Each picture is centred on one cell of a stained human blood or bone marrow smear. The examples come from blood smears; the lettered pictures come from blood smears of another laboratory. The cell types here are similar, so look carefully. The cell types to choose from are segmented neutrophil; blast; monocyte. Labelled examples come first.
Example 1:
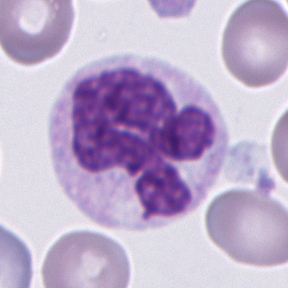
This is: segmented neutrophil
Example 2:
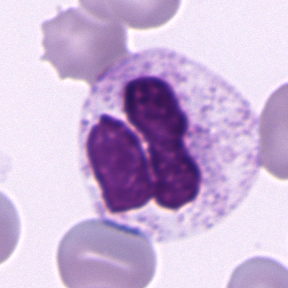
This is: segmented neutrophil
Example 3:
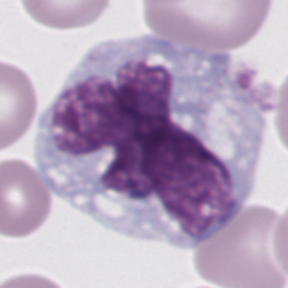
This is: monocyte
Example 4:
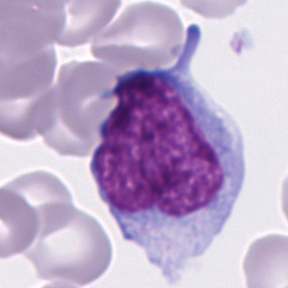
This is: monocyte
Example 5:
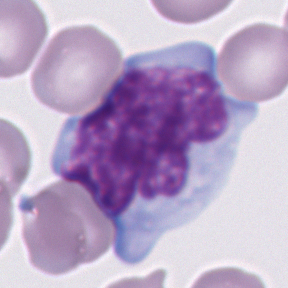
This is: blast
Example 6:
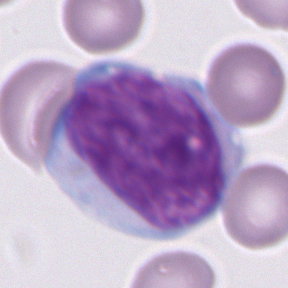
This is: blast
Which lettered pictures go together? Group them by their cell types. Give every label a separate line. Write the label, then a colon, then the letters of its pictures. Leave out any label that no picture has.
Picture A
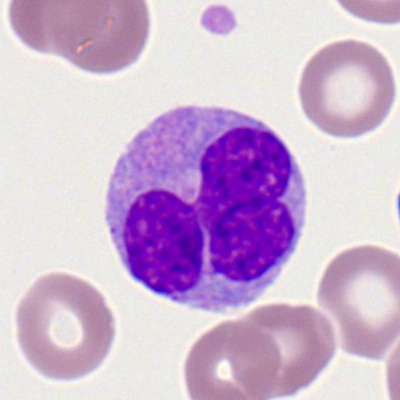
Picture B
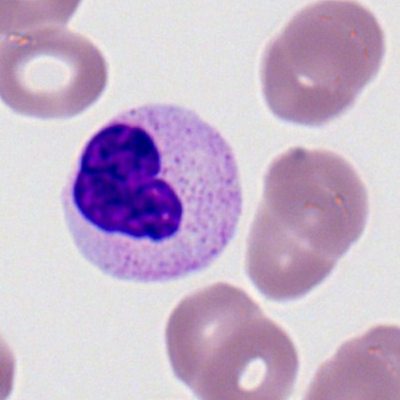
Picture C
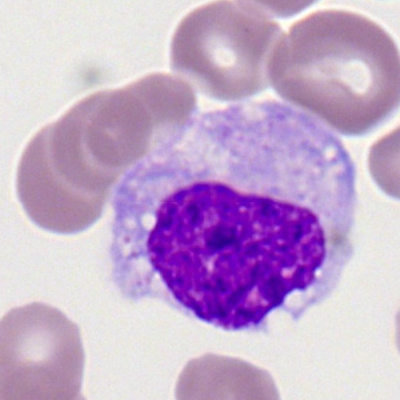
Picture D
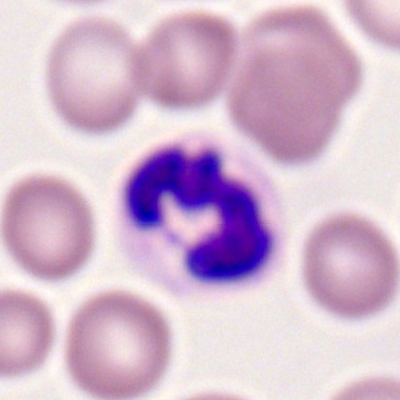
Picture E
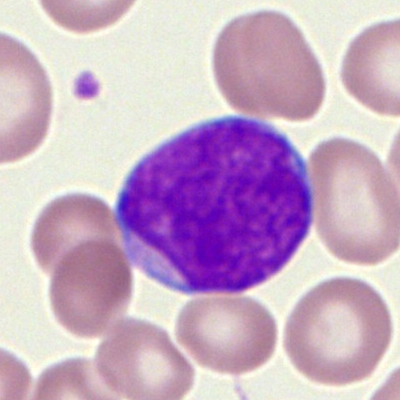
segmented neutrophil: B, D
blast: E
monocyte: A, C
